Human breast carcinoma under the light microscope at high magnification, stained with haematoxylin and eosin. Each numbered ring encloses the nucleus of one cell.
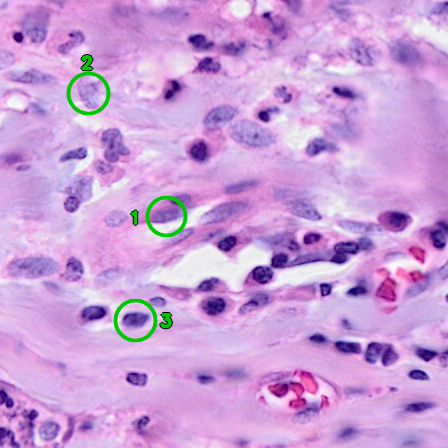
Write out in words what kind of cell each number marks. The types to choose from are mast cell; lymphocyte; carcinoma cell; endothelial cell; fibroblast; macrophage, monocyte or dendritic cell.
Cell 1 is an endothelial cell. Cell 2 is a fibroblast. Cell 3 is a lymphocyte.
